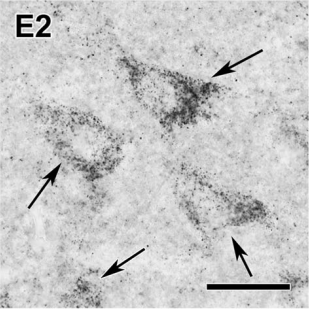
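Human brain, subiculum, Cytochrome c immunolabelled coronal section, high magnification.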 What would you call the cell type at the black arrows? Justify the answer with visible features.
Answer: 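Large triangular and polygonal cell bodies with dark dotted label. Label fills the cytoplasm around a paler centre.
Conclusion: neurons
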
